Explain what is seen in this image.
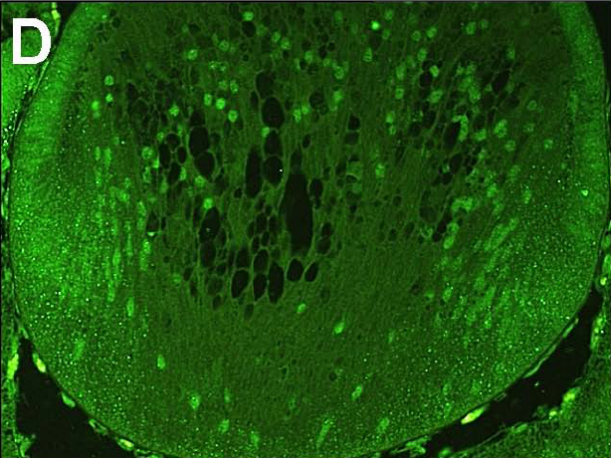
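This is a section through the lens, filled with long lens fiber cells that sweep in arcs across the rounded organ beneath its smooth curved border. Scattered among the fibers are many small round nuclei that glow bright green, standing out clearly from the duller green of the fiber cytoplasm. They lie in loose streams along the fibers rather than in one tidy row. Toward the centre the tissue is broken by many dark, empty, rounded gaps of varying size between the fibers. Outside the lens border a few very bright small cells sit in the surrounding tissue.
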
